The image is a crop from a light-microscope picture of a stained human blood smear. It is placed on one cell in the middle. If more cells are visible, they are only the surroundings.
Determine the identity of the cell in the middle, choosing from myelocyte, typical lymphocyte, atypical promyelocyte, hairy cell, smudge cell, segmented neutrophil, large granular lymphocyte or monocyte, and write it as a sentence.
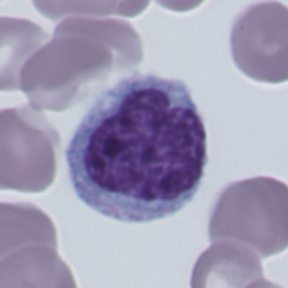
The cell shown in the center of this light-microscope crop is a monocyte.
